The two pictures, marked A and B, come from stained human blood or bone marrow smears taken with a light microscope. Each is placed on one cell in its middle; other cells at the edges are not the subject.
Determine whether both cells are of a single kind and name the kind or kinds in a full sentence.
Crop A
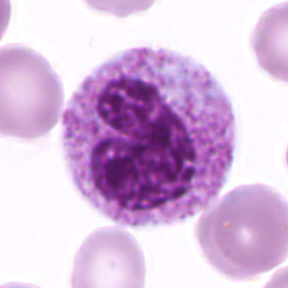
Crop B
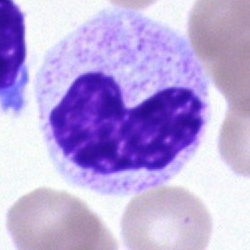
Yes, with regard to both crops, the central cells are band neutrophils.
